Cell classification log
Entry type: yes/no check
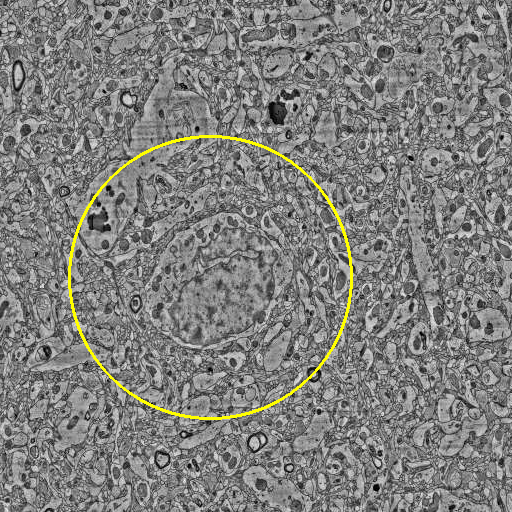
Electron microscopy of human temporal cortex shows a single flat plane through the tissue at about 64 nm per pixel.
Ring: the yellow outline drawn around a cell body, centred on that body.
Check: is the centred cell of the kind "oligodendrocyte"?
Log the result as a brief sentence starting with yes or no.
No, the cell is of another kind.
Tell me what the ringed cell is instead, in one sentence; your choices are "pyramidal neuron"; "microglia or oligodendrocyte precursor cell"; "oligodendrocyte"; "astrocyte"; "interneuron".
The cell circled by the yellow ring is an interneuron.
